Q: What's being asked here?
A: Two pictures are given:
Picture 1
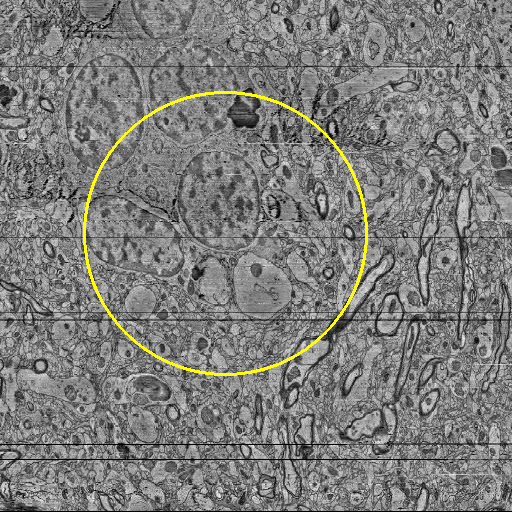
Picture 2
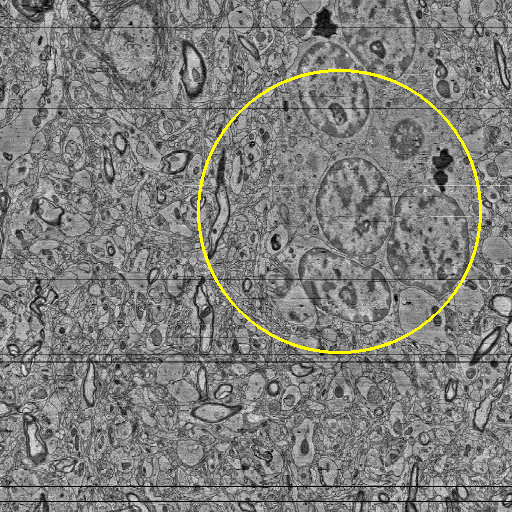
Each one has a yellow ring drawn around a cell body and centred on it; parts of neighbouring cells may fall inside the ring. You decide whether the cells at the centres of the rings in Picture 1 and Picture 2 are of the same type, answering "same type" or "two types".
same type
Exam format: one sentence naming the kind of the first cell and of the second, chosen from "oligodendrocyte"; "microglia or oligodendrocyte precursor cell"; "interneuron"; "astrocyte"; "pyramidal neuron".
In each of the two pictures, the ringed cell is an oligodendrocyte.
